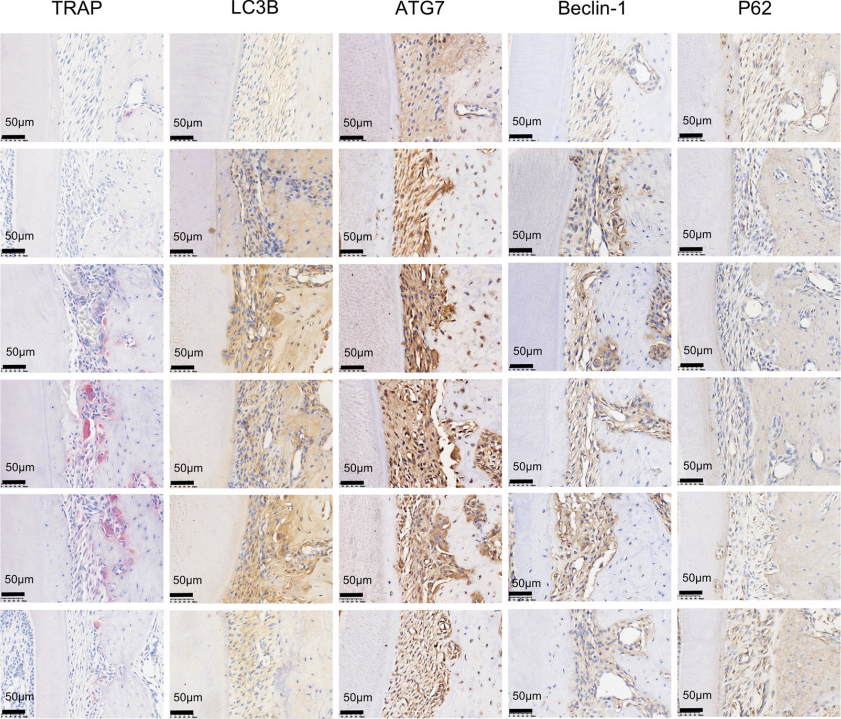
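These tiles show the periodontal ligament, a band of fibrous connective tissue lying between the pale hard tissue of the tooth root and the alveolar bone. Its cells are mostly elongated and spindle-shaped, with blue nuclei lined up along the fibres, and small vessels are scattered through the band. In the leftmost column, large red-stained multinucleated giant cells sit against the bone surface, while the other columns show brown staining of varying strength in the ligament cells.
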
